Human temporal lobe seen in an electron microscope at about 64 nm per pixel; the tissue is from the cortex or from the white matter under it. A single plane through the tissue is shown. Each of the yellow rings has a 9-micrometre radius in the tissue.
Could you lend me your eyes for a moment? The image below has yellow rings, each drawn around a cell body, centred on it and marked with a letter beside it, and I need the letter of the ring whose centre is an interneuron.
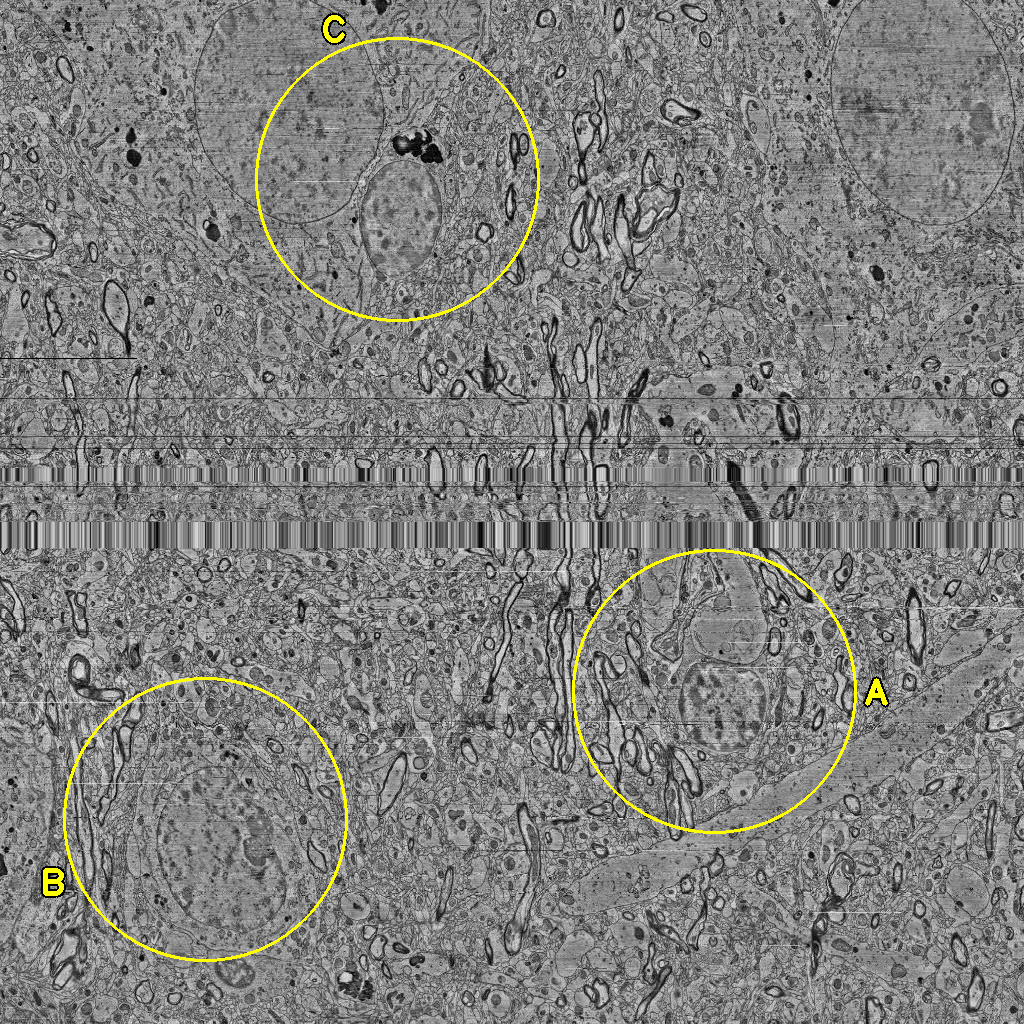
B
